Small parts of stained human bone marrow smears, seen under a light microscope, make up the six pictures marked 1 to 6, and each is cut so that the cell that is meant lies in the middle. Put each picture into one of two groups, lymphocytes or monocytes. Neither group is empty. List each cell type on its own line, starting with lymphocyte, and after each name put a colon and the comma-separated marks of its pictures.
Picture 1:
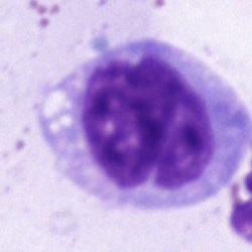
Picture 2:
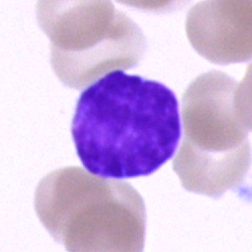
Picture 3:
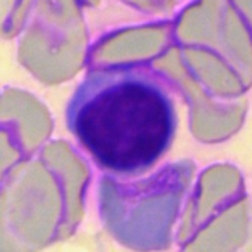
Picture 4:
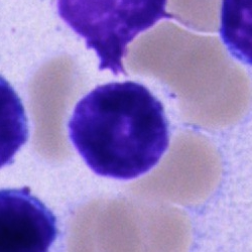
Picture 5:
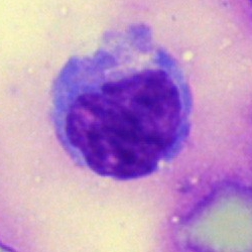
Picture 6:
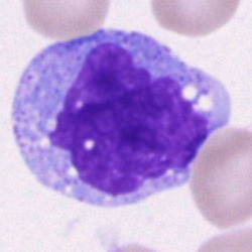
lymphocyte: 2, 3, 4
monocyte: 1, 5, 6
